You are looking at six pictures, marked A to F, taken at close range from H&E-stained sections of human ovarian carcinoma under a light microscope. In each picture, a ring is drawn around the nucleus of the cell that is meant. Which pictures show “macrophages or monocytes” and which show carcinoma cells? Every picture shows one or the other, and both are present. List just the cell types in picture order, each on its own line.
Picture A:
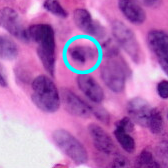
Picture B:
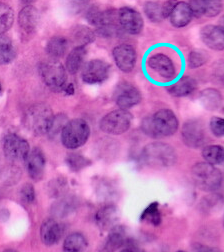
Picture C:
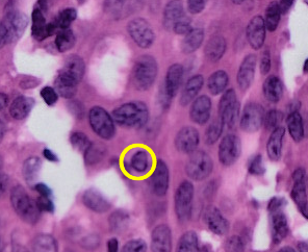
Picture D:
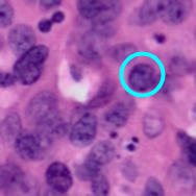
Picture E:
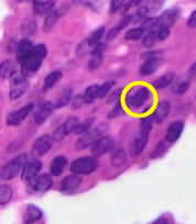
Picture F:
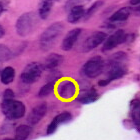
macrophage or monocyte
macrophage or monocyte
macrophage or monocyte
carcinoma cell
carcinoma cell
carcinoma cell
